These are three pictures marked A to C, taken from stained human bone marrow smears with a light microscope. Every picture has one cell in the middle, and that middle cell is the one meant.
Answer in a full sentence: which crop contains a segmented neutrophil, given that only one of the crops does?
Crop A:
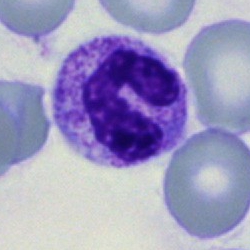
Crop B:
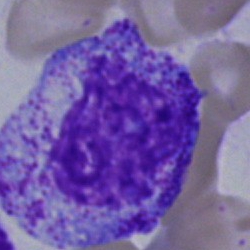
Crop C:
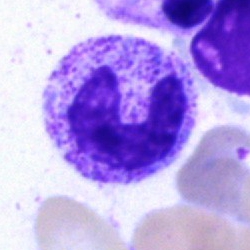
Of the crops shown, crop A depicts a segmented neutrophil.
